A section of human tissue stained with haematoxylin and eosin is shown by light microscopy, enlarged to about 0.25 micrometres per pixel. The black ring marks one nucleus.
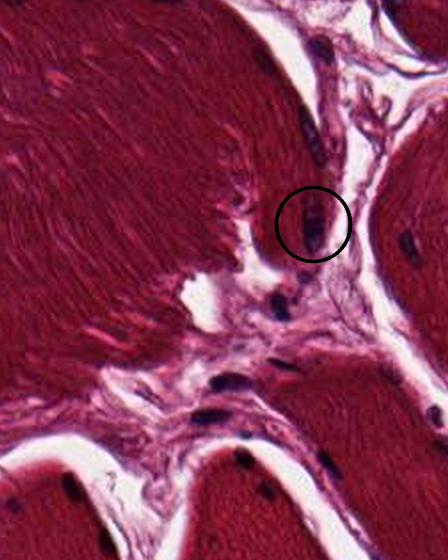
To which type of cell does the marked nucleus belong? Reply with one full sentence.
The mark in this picture falls on the nucleus of a skeletal muscle fibre.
